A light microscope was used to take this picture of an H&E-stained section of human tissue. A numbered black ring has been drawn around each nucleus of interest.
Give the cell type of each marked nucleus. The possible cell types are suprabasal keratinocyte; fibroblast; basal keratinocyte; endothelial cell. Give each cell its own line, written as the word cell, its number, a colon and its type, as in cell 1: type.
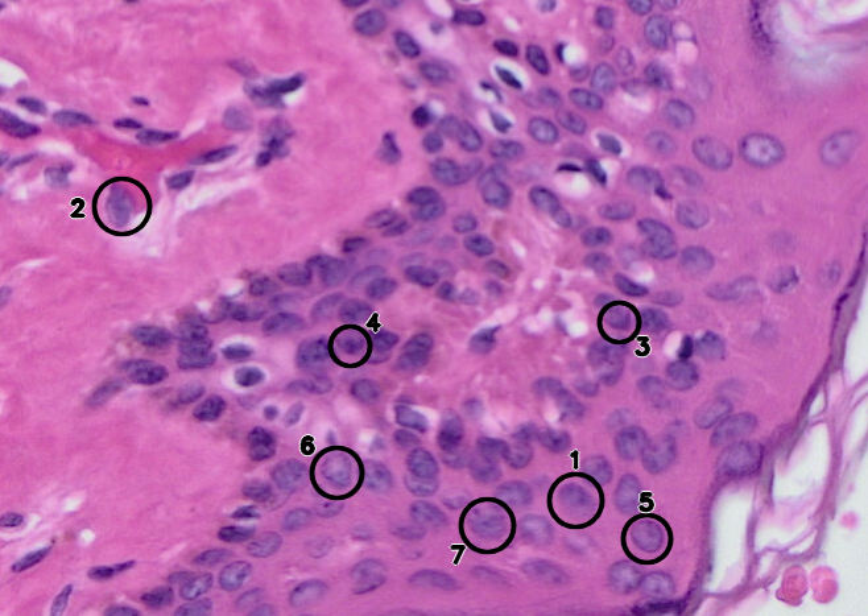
cell 1: suprabasal keratinocyte
cell 2: endothelial cell
cell 3: basal keratinocyte
cell 4: basal keratinocyte
cell 5: suprabasal keratinocyte
cell 6: suprabasal keratinocyte
cell 7: suprabasal keratinocyte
